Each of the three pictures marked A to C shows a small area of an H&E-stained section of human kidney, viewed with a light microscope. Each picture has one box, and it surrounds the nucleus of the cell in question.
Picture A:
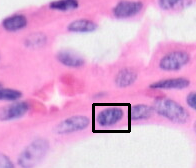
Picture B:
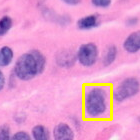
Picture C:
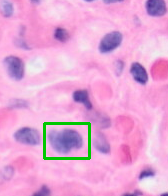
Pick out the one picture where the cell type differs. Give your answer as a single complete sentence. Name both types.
The others show collecting duct cells, but picture C shows an endothelial cell.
